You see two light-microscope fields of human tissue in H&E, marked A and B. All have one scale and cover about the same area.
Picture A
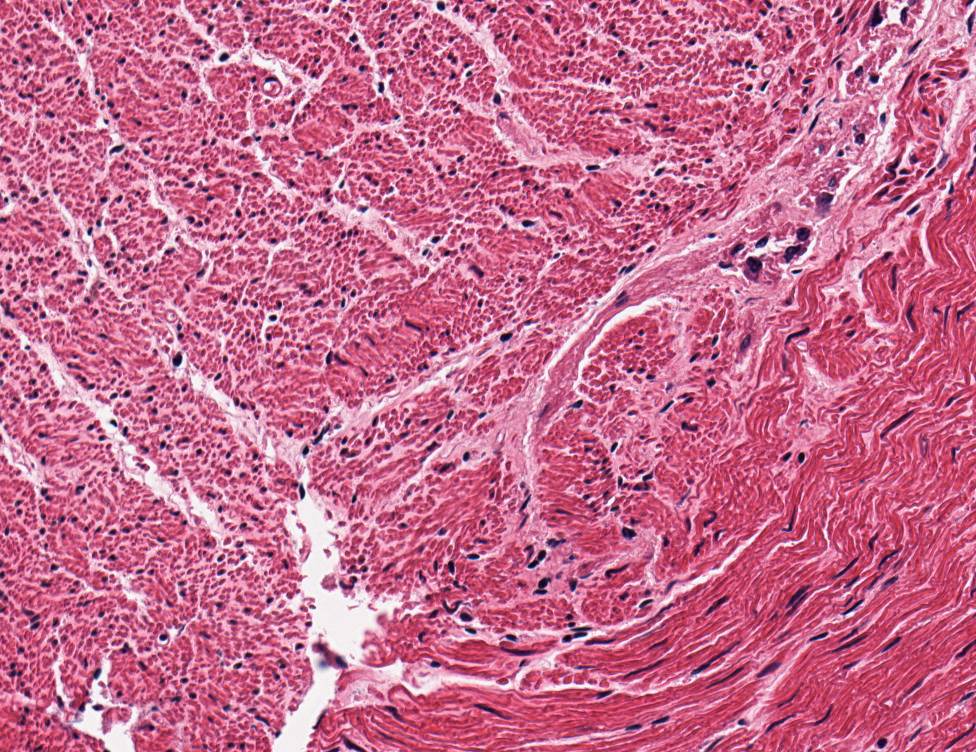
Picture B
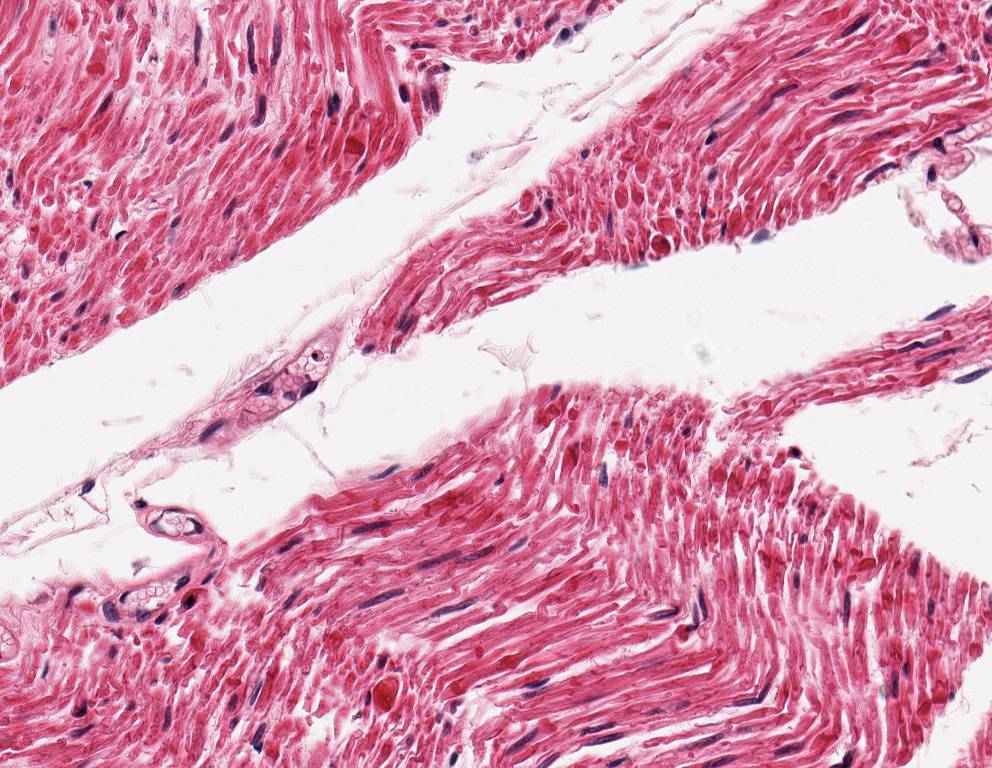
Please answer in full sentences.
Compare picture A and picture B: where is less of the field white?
Picture A has less white space.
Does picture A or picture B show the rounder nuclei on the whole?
On the whole the nuclei of picture A are rounder than those of picture B.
